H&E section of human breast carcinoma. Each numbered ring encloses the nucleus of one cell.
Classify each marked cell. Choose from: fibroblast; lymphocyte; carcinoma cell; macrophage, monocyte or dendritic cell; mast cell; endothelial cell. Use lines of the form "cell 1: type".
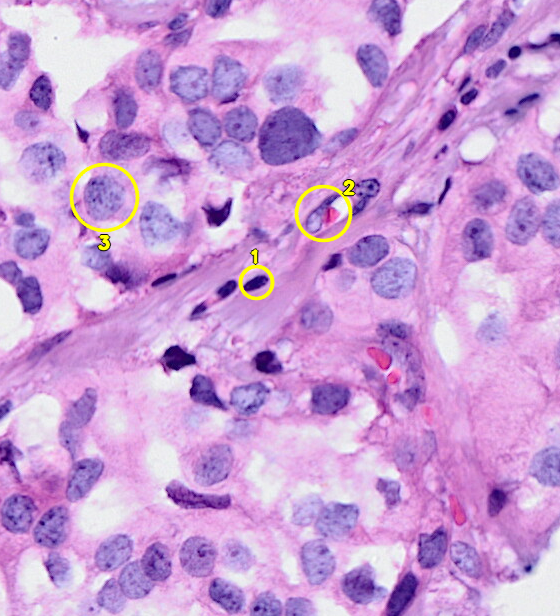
cell 1: lymphocyte
cell 2: endothelial cell
cell 3: carcinoma cell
